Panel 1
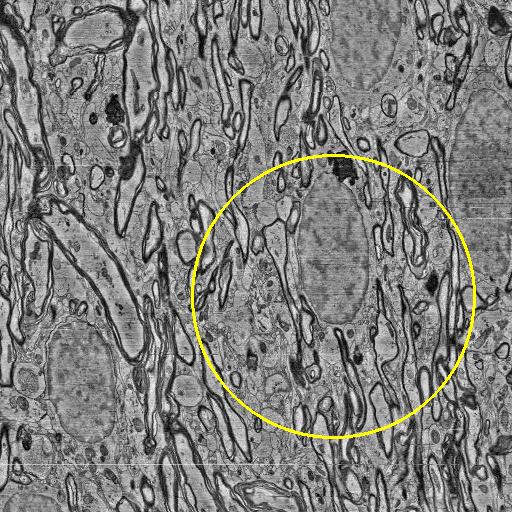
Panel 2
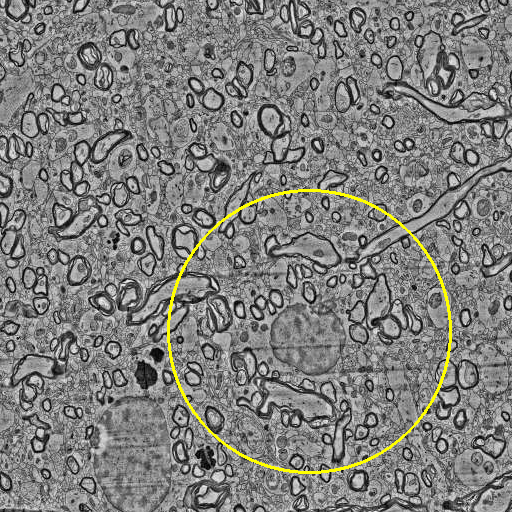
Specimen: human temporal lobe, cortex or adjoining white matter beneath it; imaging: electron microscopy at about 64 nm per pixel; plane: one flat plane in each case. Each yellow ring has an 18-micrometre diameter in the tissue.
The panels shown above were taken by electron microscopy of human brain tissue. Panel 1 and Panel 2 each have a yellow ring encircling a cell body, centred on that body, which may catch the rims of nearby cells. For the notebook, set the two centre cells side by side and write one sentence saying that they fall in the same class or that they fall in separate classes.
The centred cells of Panel 1 and Panel 2 fall in the same class.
